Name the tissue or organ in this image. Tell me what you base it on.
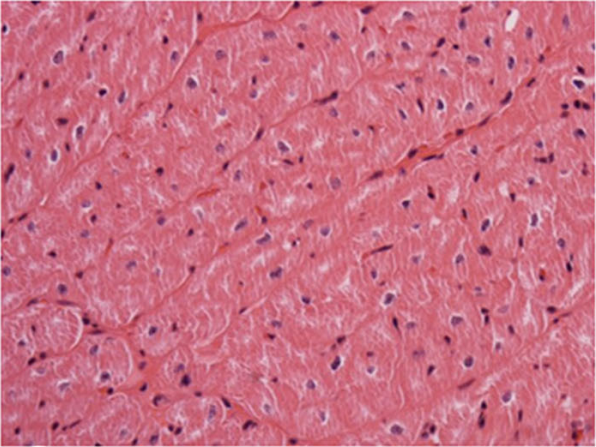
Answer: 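Tightly packed pink-staining fibres fill the field. Fibres are separated by thin strands of connective tissue.
Answer: muscle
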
